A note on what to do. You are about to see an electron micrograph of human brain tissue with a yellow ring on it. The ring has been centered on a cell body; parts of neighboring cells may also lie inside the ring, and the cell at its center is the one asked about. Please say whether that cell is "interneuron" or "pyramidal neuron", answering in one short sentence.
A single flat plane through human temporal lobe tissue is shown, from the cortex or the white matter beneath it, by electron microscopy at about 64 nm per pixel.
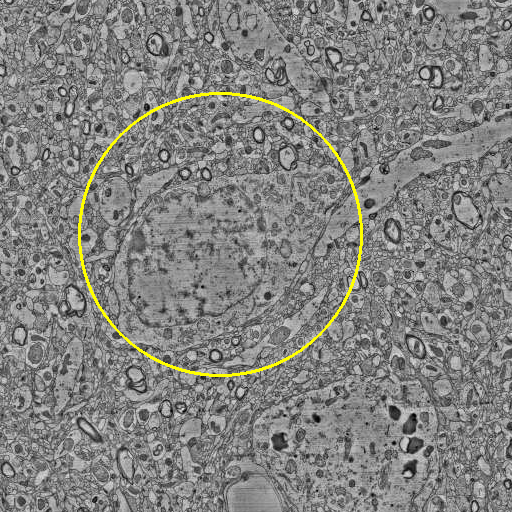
The yellow ring sits on an interneuron.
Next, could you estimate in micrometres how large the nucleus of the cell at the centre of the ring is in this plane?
Roughly 10 by 8 micrometres is the size of the nucleus in this plane.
